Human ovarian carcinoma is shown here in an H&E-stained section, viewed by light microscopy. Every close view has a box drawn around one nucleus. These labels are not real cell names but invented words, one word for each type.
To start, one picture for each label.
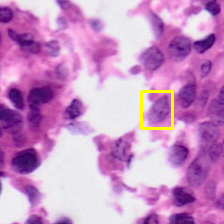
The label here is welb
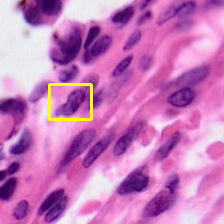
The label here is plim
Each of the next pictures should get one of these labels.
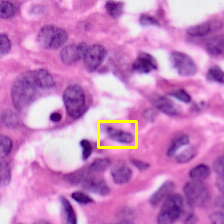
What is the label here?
plim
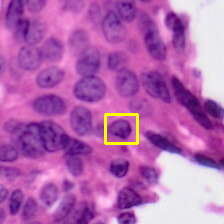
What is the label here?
plim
